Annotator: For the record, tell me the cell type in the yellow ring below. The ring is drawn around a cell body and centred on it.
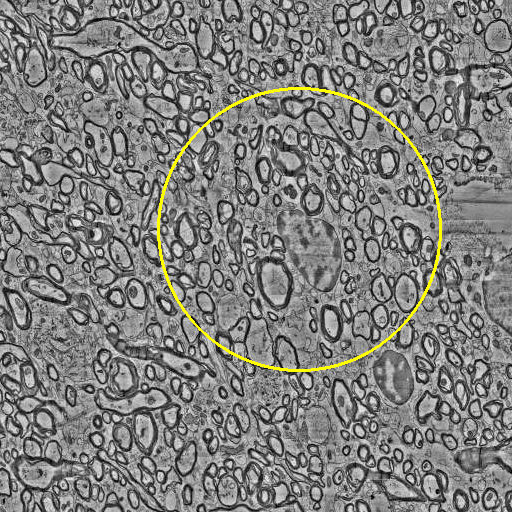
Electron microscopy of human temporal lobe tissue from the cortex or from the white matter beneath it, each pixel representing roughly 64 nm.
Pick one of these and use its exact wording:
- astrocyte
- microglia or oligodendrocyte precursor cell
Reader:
microglia or oligodendrocyte precursor cell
